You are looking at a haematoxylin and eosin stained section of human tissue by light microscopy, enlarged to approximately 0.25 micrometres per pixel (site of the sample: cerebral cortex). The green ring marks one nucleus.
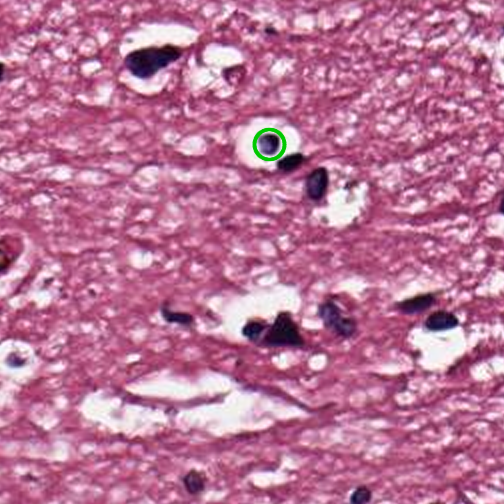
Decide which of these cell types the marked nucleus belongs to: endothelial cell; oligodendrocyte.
oligodendrocyte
